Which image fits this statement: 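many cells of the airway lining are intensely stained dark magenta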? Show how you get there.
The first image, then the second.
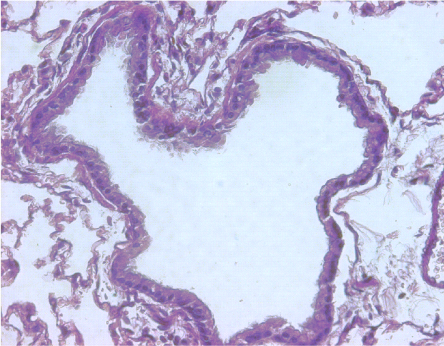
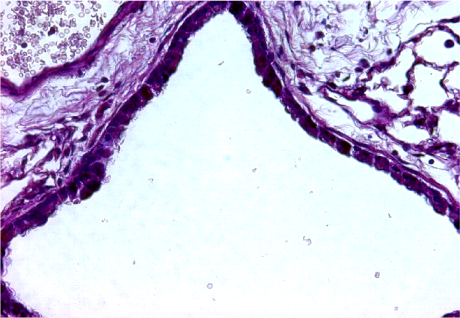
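First image: the airway lining stains a fairly even pale pink-purple with few intensely dark cells. Second image: the airway lining contains many cells with dense dark magenta-purple cytoplasm.
The second image.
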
